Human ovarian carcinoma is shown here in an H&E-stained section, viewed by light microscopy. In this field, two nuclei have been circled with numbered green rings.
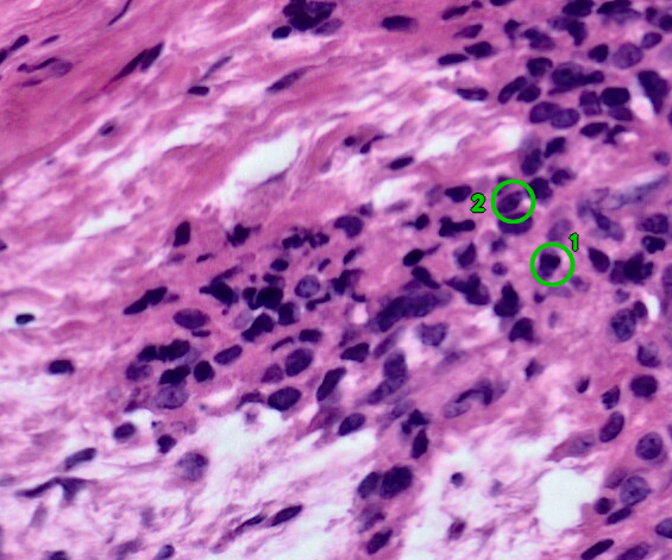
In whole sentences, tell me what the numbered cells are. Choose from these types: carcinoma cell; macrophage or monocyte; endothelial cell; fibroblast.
Cell 1 is a macrophage or monocyte and cell 2 is a carcinoma cell.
